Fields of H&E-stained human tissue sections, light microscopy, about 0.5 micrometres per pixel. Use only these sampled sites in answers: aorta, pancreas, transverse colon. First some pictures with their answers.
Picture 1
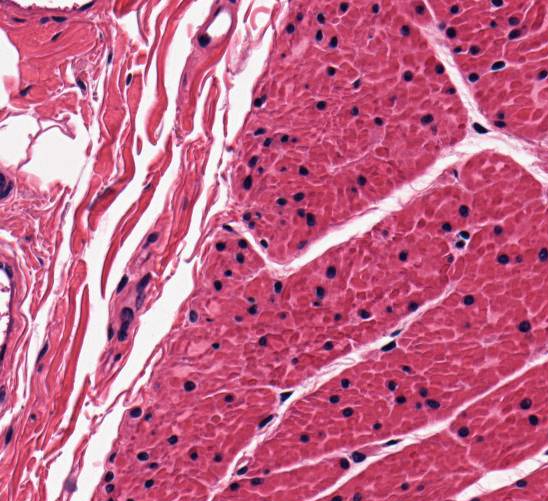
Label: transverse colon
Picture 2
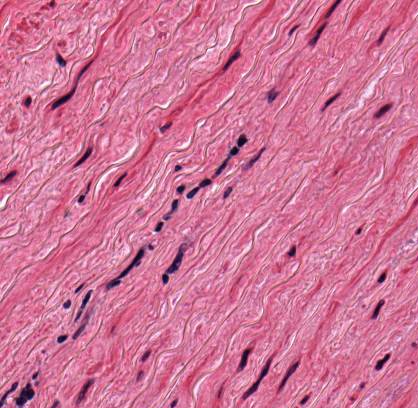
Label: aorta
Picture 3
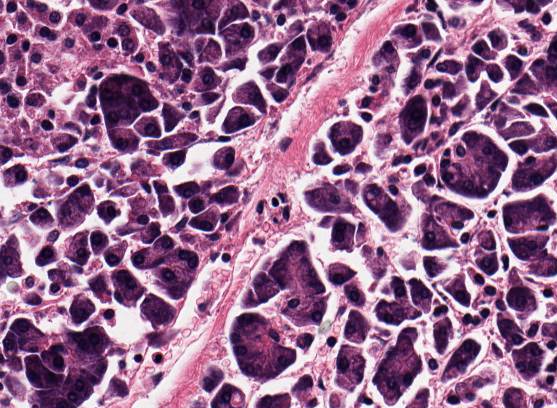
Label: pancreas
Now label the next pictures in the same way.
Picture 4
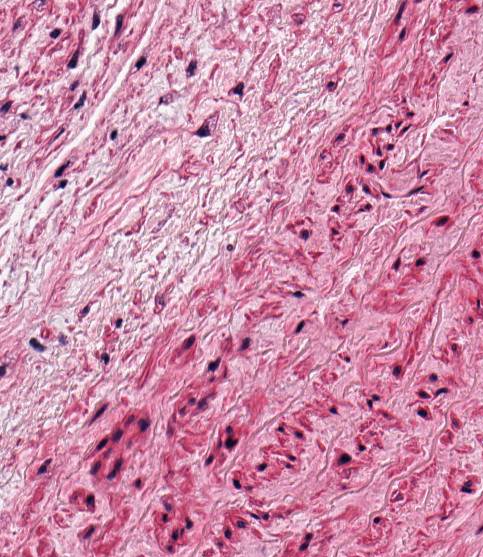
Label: aorta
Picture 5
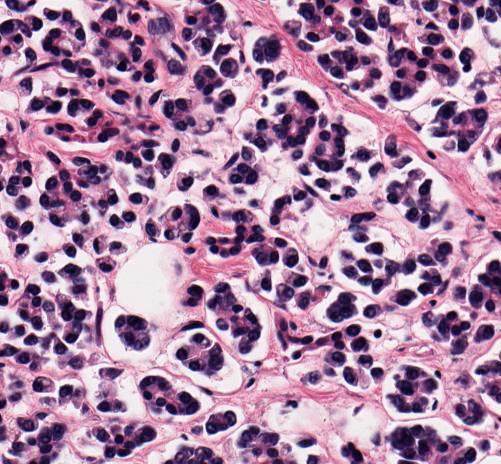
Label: pancreas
